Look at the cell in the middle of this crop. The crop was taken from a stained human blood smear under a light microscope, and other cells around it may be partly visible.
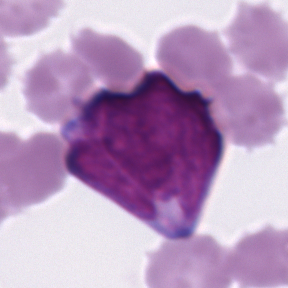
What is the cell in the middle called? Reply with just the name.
myeloblast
